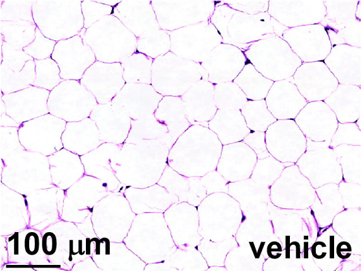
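This is white adipose tissue made up of closely packed, large polygonal adipocytes. Each cell appears empty, with its single large lipid space cleared and only a thin purple-pink rim of cytoplasm and membrane outlining it. Nuclei are sparse, small and pressed to the cell edges, and little stroma lies between the cells.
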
